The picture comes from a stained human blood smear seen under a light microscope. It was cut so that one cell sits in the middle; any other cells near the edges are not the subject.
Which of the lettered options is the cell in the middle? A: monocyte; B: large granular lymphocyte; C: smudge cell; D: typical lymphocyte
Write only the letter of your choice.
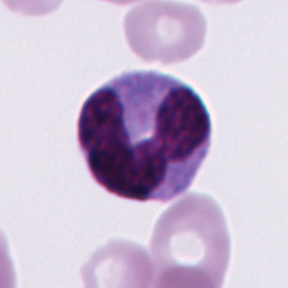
A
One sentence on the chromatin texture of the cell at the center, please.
Heads up, the chromatin in this one is coarsely clumped.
